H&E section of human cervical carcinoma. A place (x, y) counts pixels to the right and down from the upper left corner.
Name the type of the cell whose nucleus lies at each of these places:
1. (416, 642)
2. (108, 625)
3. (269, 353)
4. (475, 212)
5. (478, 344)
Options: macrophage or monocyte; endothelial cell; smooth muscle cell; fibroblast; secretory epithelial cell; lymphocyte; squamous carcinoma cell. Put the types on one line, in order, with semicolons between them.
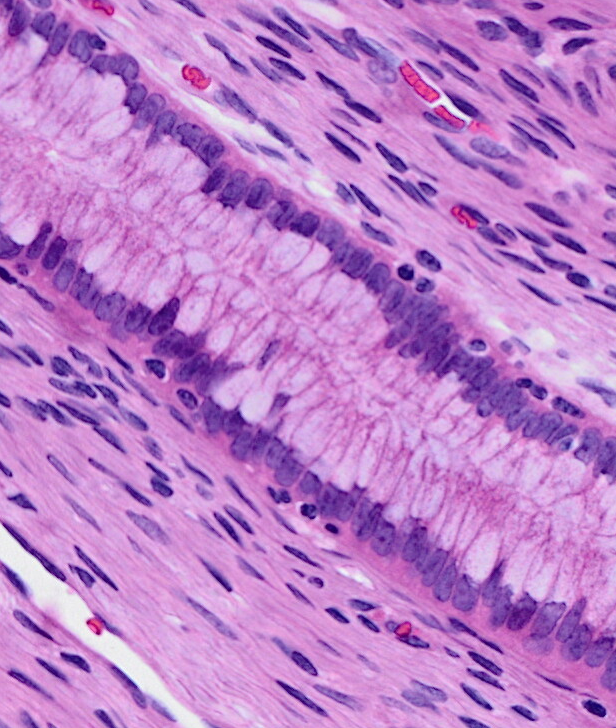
endothelial cell; endothelial cell; secretory epithelial cell; endothelial cell; secretory epithelial cell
